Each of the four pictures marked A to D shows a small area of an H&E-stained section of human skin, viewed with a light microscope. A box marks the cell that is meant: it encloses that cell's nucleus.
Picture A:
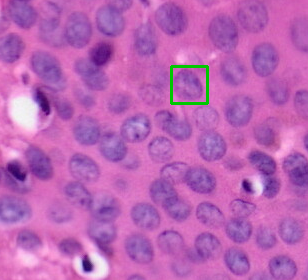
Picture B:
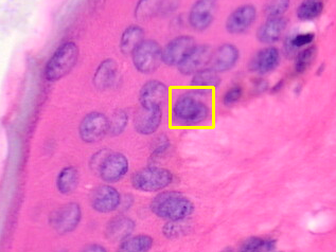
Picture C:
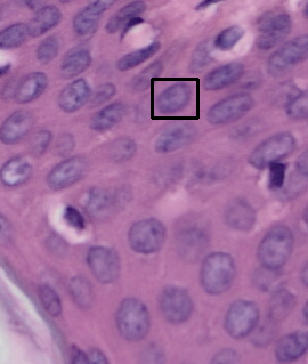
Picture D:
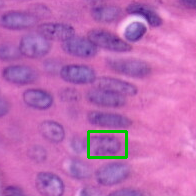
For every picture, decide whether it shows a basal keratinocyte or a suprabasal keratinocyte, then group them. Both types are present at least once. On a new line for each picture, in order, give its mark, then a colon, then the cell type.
A: suprabasal keratinocyte
B: basal keratinocyte
C: suprabasal keratinocyte
D: basal keratinocyte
